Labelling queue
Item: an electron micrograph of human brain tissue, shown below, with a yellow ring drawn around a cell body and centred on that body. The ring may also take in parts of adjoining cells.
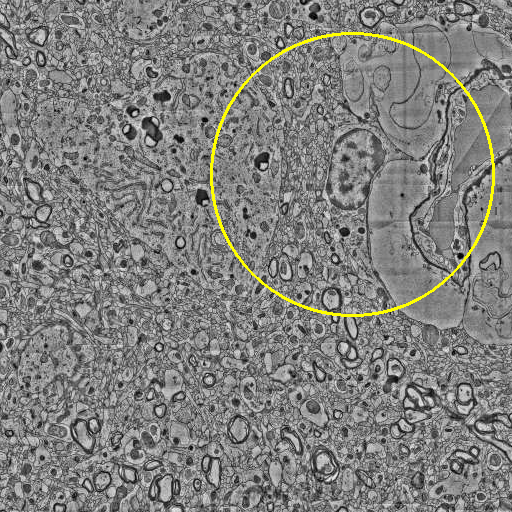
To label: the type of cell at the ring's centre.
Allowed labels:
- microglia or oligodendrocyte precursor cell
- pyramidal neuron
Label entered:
microglia or oligodendrocyte precursor cell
